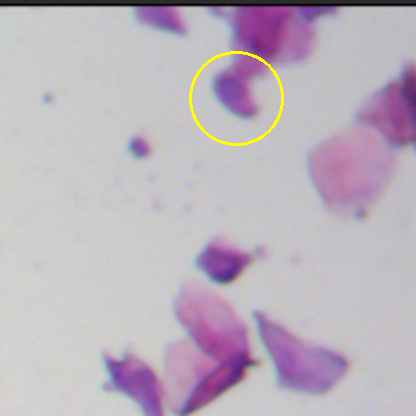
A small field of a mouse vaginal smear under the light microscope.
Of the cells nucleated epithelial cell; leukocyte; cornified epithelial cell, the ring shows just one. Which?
The ring shows a nucleated epithelial cell.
